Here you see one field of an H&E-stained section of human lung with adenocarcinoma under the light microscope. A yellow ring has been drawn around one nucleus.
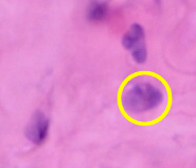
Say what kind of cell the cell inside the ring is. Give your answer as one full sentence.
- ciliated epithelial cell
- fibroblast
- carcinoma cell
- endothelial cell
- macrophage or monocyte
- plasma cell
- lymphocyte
It is as a fibroblast that the cell inside the ring is classified.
